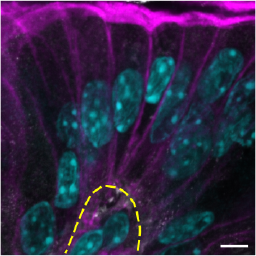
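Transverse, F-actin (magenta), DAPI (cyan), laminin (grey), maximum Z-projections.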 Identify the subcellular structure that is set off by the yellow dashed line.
Basal side of the cell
